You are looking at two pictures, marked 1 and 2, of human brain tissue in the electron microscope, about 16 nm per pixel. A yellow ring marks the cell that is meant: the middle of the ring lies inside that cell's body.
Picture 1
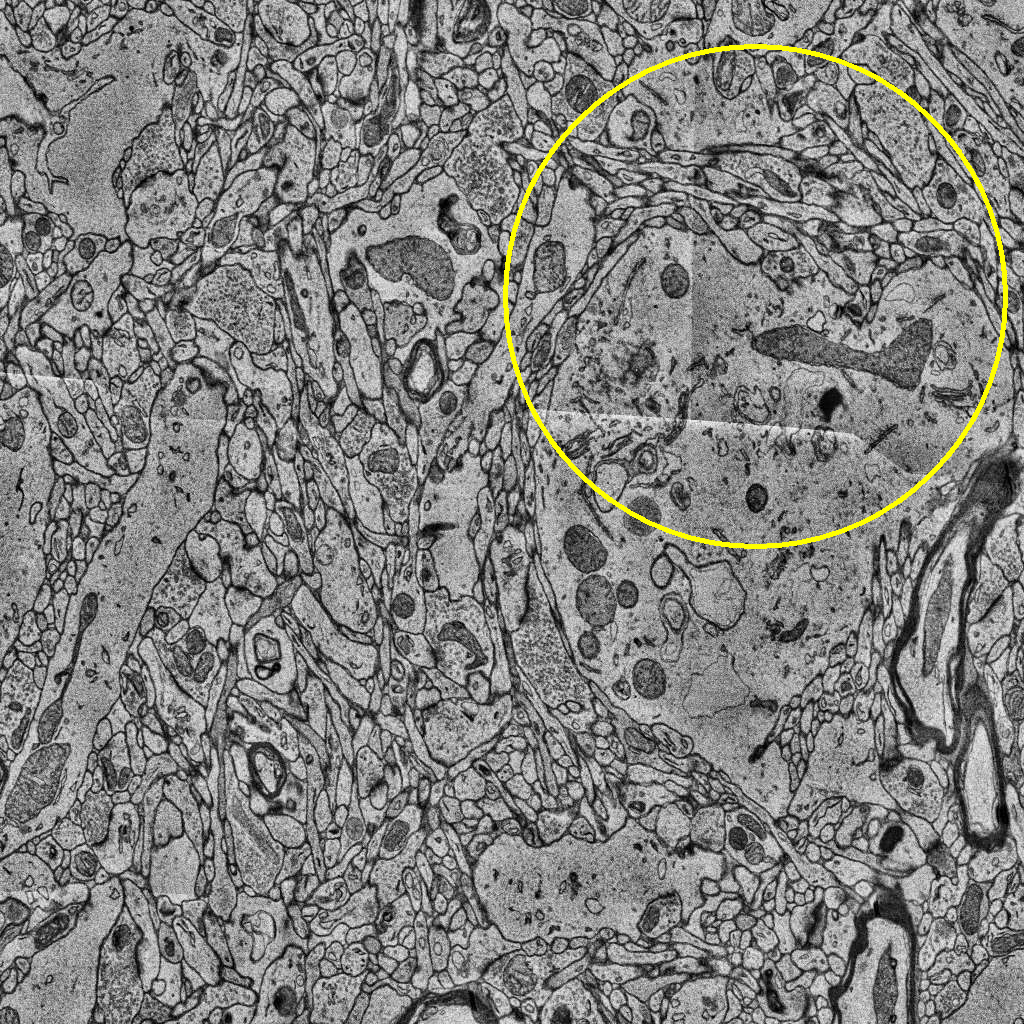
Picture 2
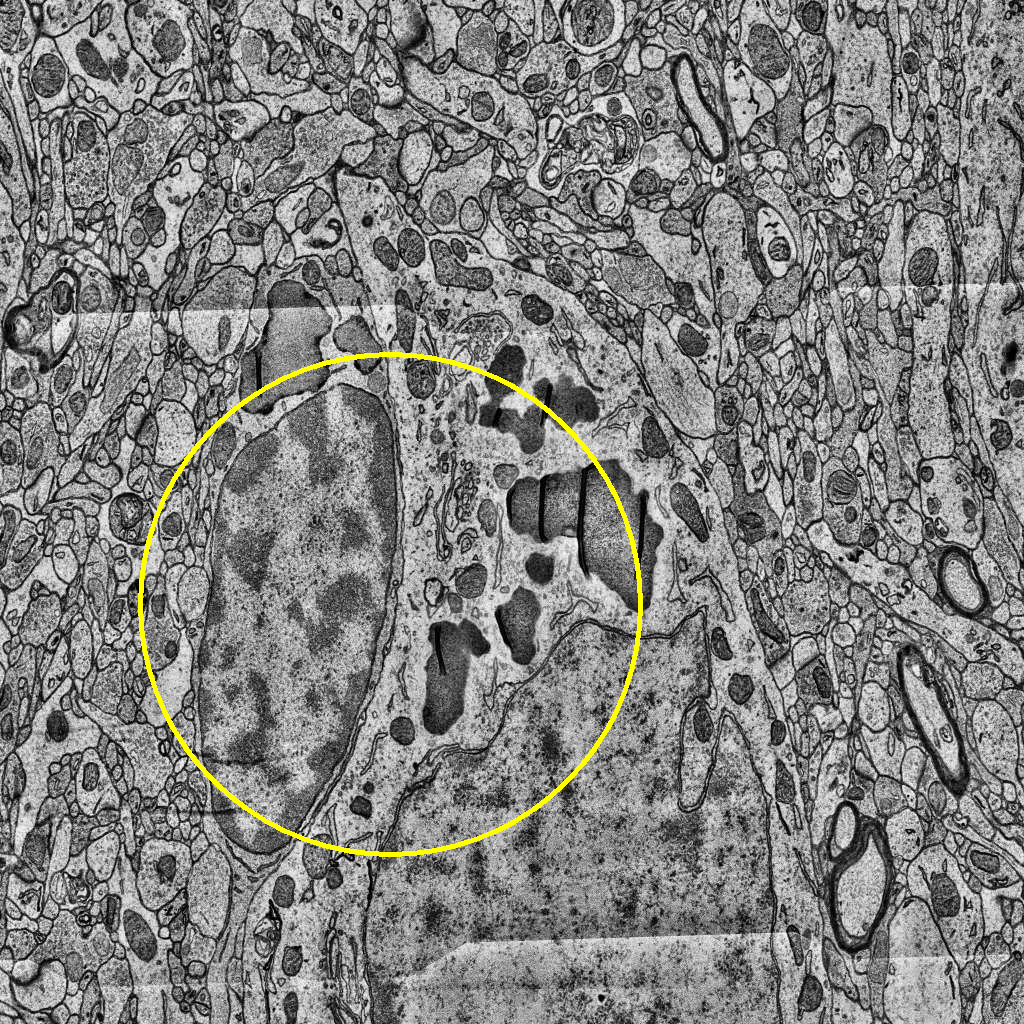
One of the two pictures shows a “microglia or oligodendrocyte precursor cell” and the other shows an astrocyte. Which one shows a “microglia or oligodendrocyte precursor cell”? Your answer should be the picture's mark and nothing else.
2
